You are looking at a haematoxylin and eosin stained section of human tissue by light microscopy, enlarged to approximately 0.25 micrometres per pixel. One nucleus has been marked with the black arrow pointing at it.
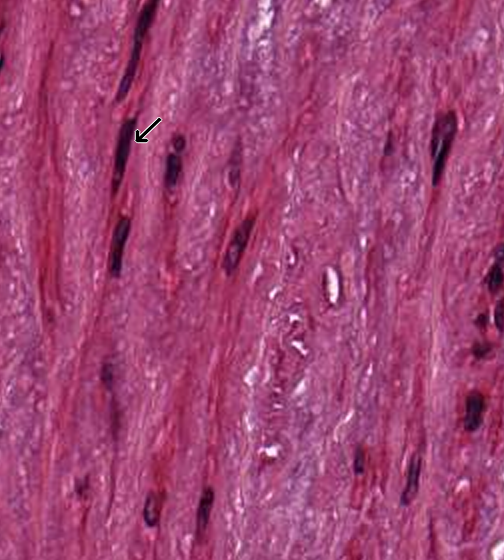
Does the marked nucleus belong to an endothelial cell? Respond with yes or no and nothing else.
no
